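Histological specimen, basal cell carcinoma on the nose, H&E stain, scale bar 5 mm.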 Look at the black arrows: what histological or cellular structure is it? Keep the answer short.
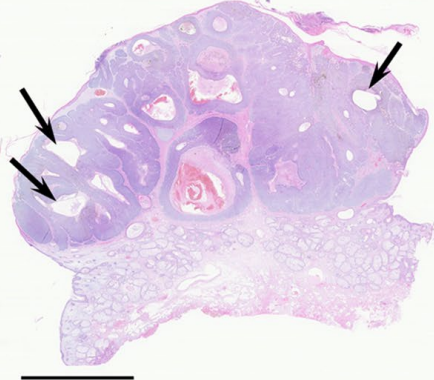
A: Cystic cavities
